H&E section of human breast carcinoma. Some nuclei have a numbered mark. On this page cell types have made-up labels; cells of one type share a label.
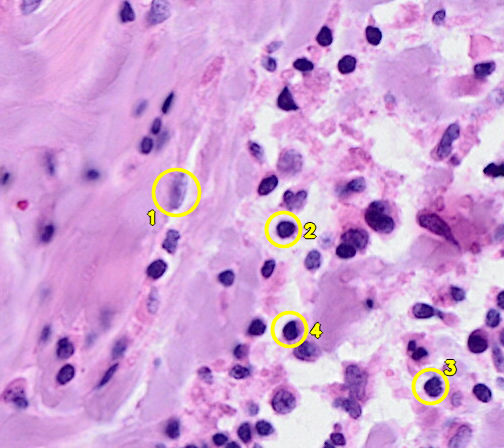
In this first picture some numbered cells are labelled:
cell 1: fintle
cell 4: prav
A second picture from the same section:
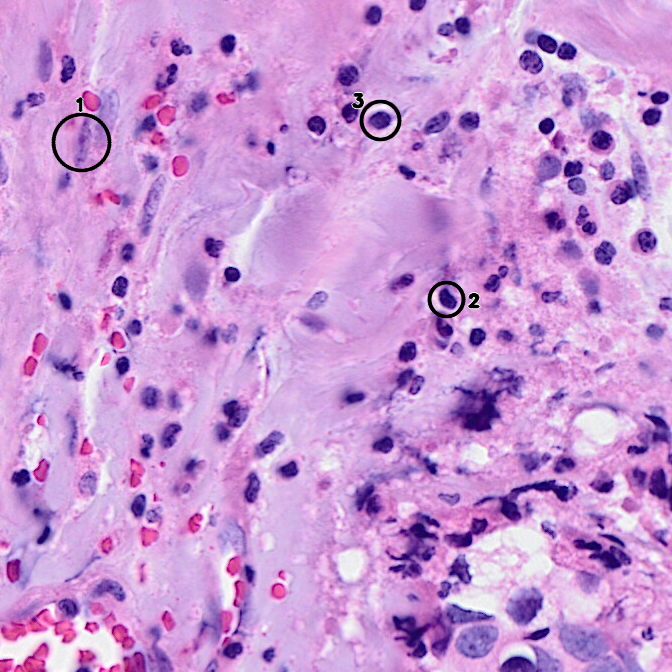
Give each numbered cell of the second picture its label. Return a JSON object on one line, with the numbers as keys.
{"1": "fintle", "2": "prav", "3": "prav"}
